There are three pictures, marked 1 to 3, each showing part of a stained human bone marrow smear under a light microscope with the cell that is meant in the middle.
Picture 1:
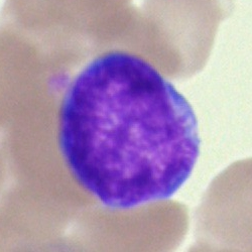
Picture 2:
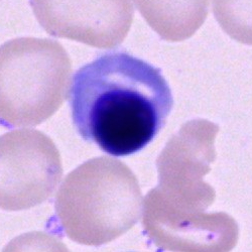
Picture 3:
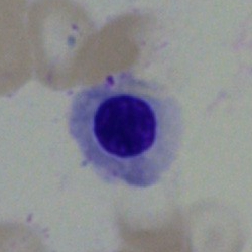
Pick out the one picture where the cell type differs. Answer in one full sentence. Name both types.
The others show erythroblasts, but picture 1 shows a blast.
